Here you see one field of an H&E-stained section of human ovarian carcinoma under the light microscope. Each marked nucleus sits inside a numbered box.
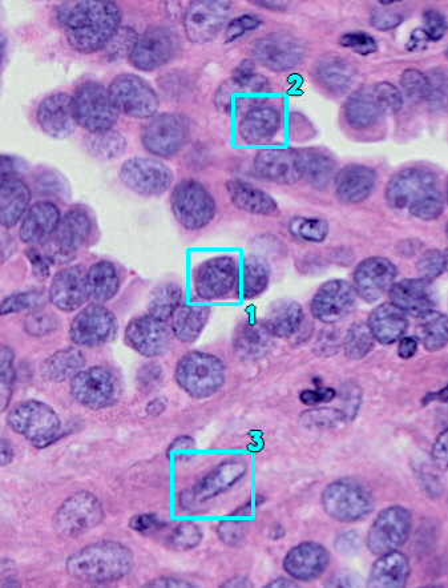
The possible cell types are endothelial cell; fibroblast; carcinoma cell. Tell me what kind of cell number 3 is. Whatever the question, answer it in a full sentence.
The cell that bears the number 3 is a fibroblast.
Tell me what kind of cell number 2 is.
Cell 2 should be recorded as a carcinoma cell.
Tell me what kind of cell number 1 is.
The cell with the number 1 is a carcinoma cell.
